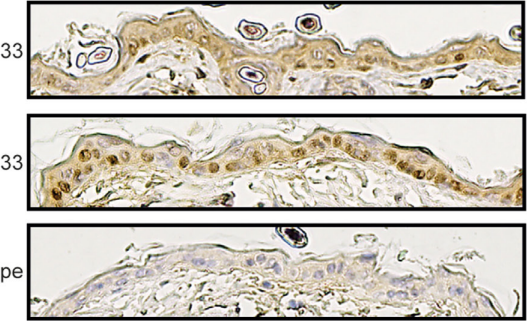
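In the top strip the epidermal cells are diffusely tinted brown, while in the middle strip the brown stain is concentrated in rounded nuclei lined up along the layer. The bottom strip shows only pale bluish nuclei without brown stain.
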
